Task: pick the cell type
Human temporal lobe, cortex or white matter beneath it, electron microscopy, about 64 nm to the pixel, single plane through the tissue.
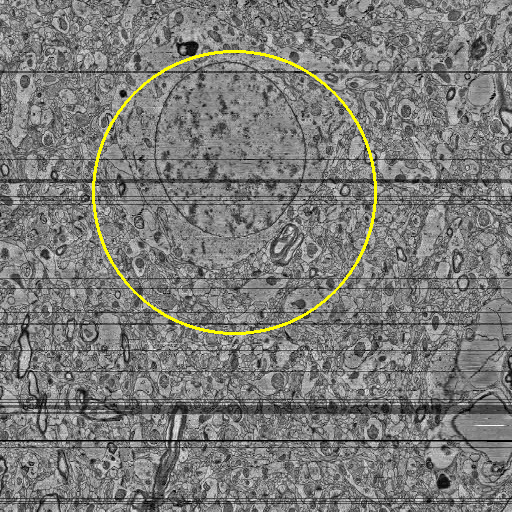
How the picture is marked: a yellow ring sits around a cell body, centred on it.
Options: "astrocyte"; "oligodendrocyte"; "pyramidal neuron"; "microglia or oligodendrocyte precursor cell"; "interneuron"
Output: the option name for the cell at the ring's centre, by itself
pyramidal neuron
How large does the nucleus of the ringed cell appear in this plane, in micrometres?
In this plane, roughly 12 by 10 micrometres.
